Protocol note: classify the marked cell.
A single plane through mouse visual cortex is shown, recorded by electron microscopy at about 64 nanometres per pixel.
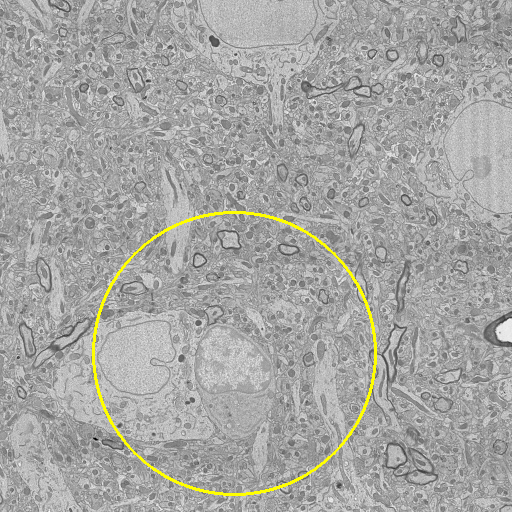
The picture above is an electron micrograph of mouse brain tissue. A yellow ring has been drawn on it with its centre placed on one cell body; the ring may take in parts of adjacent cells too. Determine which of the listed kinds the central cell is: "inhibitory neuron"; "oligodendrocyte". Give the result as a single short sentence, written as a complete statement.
The central cell is an oligodendrocyte.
